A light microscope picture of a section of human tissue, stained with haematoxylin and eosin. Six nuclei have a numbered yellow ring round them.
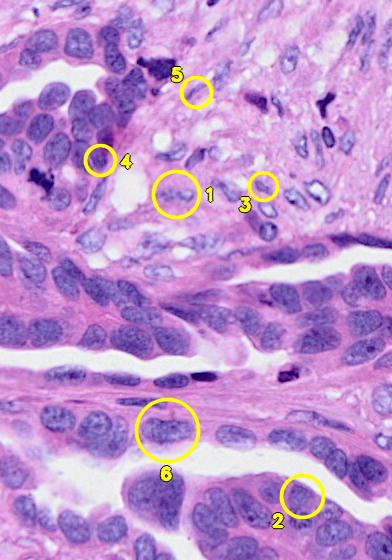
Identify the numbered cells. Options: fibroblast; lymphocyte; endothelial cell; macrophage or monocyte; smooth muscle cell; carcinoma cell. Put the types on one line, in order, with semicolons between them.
fibroblast; carcinoma cell; fibroblast; carcinoma cell; fibroblast; carcinoma cell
